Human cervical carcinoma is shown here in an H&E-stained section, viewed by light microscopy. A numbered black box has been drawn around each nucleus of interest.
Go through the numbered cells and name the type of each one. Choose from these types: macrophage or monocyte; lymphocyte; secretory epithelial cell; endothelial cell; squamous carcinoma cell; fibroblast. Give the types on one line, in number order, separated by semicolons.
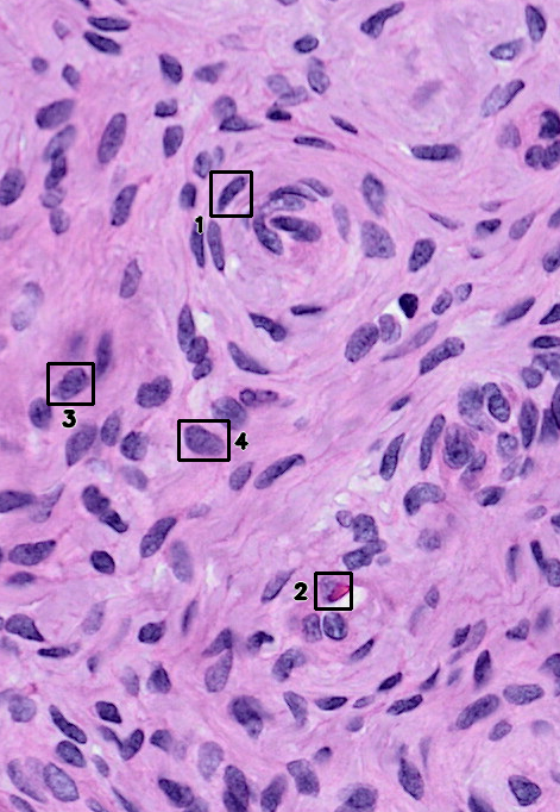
fibroblast; endothelial cell; fibroblast; fibroblast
